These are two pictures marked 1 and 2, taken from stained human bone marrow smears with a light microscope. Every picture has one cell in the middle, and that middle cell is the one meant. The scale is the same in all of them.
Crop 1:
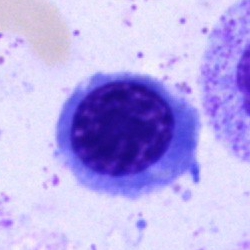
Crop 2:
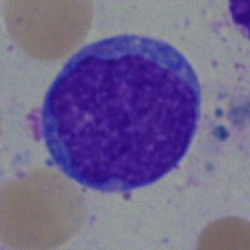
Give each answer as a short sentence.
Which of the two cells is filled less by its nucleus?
The nucleus fills less of the cell in crop 1 than in crop 2.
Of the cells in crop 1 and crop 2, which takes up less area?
Smaller is the cell in crop 1, and the other is about 1.5 times as large in area.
